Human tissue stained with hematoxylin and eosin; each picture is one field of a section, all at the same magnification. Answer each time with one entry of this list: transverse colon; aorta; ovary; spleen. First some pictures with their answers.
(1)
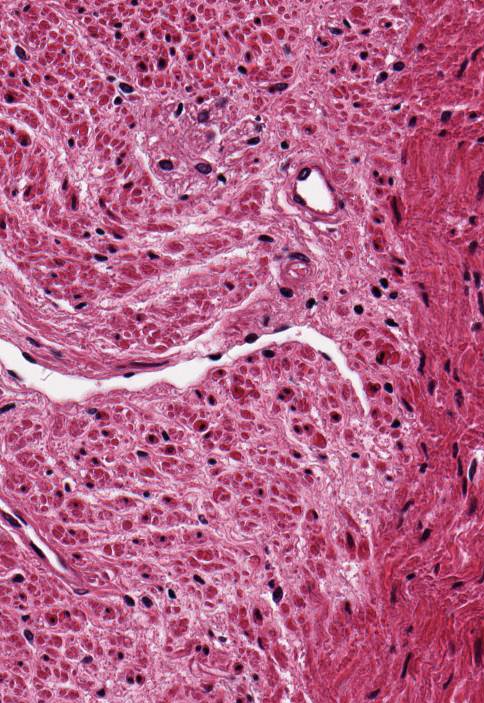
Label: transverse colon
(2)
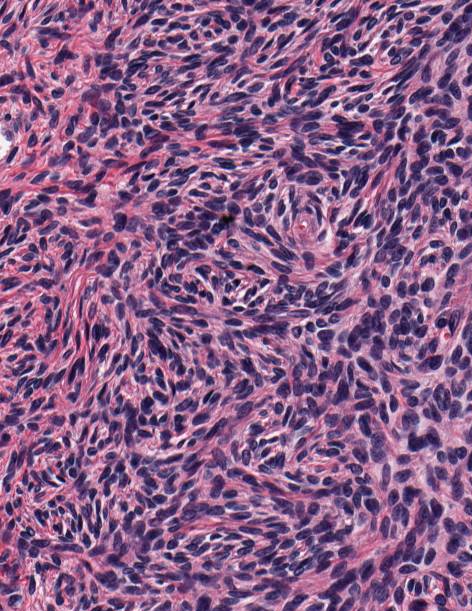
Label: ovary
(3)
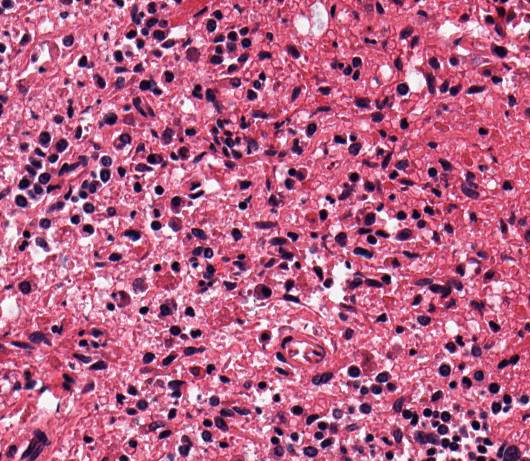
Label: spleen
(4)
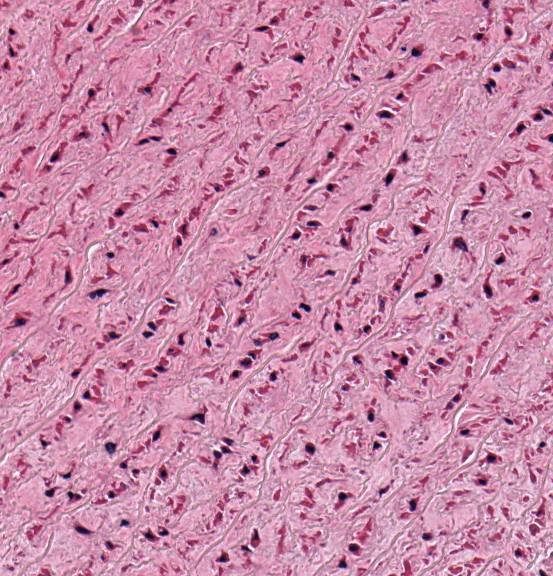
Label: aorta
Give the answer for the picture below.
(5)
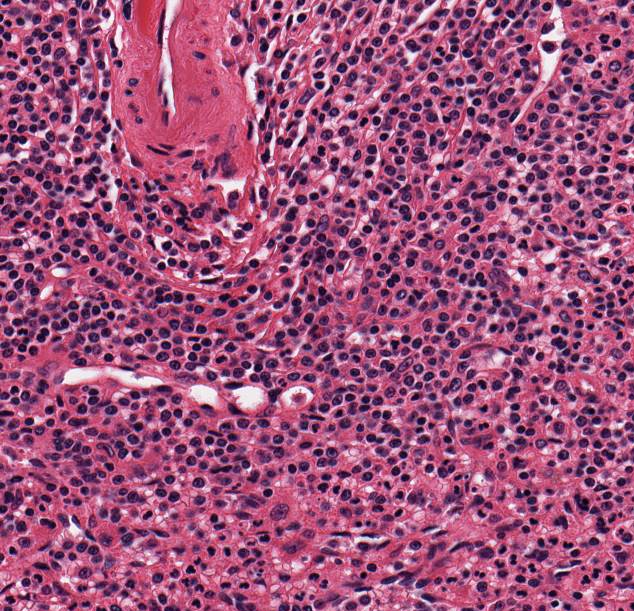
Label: spleen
